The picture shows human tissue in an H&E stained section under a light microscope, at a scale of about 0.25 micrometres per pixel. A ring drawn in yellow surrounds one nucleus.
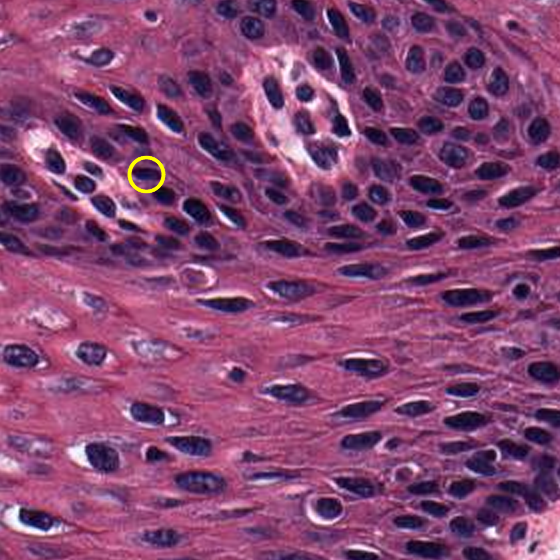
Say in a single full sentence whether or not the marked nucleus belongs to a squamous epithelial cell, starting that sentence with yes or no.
Yes, the marked nucleus is found within a squamous epithelial cell.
